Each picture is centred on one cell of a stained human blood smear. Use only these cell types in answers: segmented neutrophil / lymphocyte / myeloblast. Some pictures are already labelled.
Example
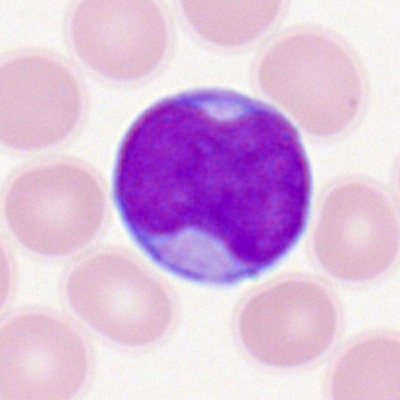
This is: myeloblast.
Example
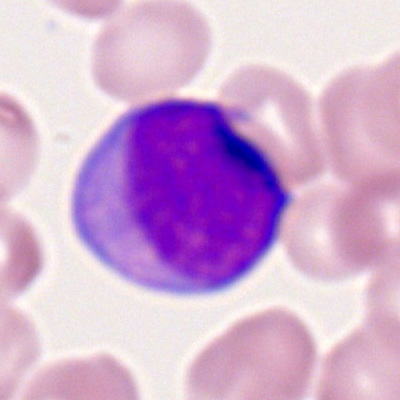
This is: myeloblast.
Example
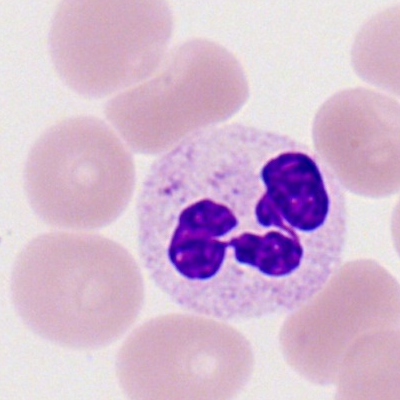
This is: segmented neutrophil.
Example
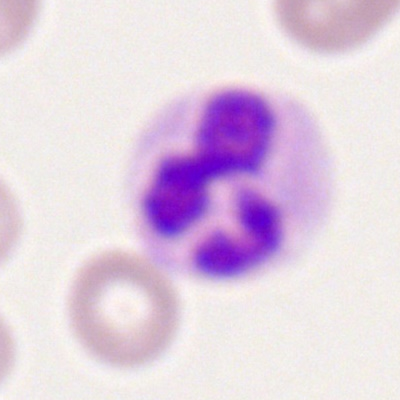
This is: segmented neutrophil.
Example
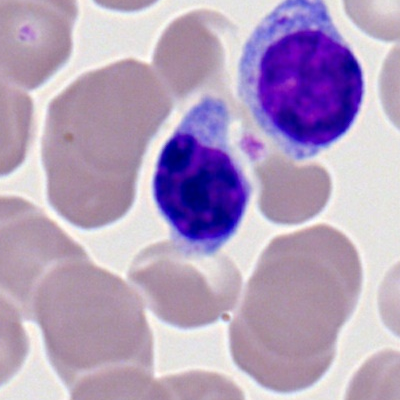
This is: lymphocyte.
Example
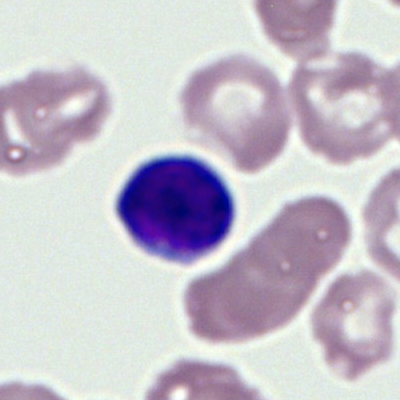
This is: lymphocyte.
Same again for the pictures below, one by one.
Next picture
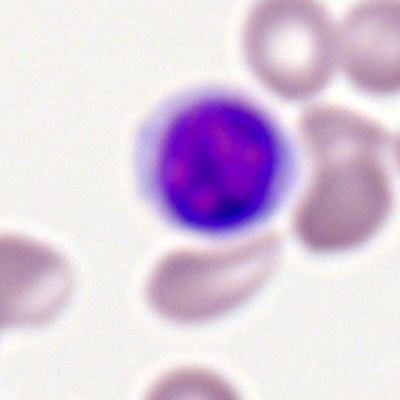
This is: lymphocyte.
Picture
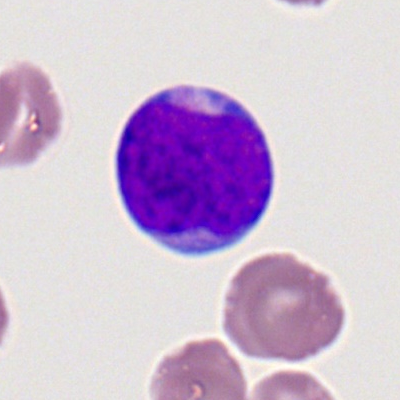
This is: myeloblast.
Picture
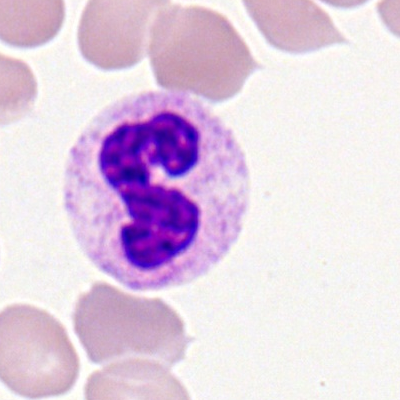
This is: segmented neutrophil.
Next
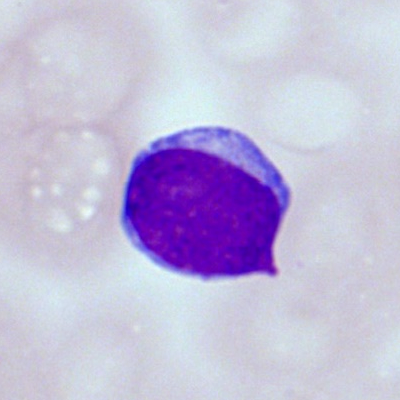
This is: myeloblast.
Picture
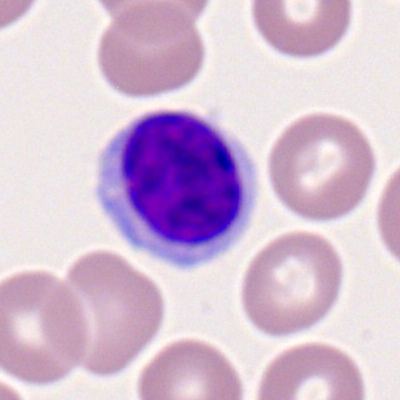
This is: lymphocyte.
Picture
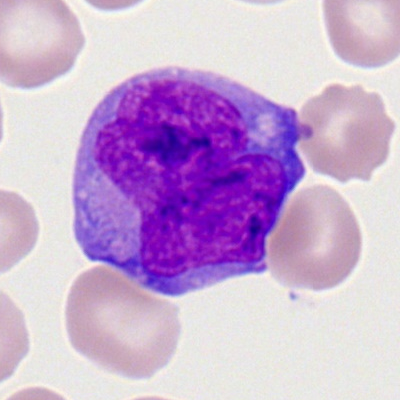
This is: myeloblast.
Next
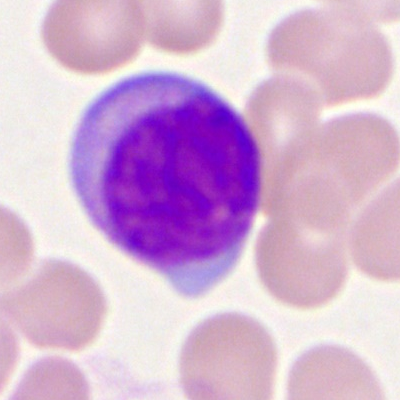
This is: myeloblast.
